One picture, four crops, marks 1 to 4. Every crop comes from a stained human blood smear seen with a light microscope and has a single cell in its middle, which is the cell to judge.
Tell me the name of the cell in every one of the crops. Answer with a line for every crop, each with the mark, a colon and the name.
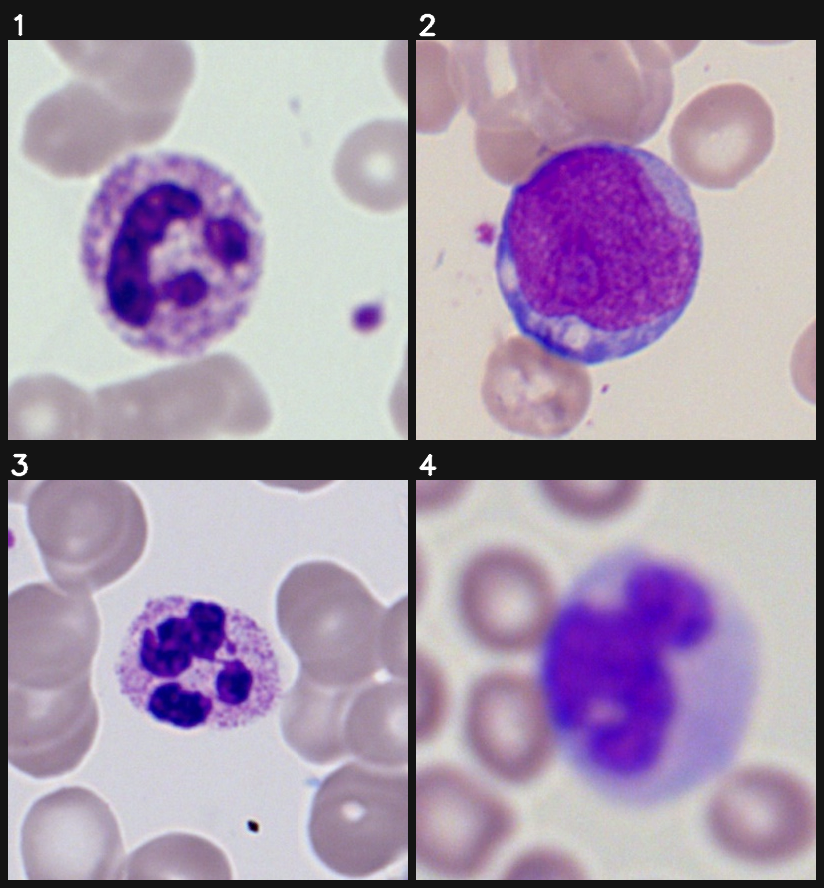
1: neutrophil
2: blast
3: neutrophil
4: monocyte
